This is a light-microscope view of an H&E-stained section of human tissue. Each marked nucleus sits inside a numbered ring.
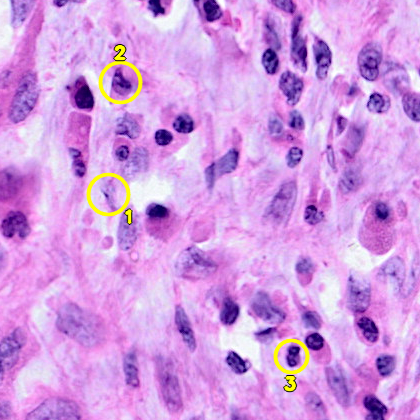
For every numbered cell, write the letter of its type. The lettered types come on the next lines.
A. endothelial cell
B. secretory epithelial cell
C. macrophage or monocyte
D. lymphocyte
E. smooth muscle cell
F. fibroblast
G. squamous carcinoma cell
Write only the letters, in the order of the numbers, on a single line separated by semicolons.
F; C; D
